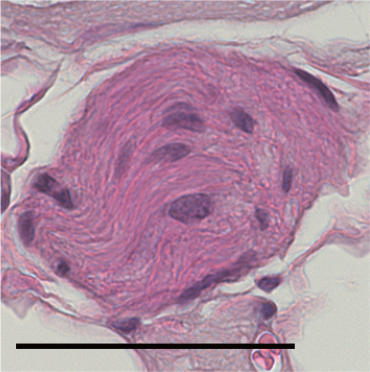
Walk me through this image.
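Here a single oval bundle fills most of the field, sharply set off from the pale loose matrix around it. It is made of fine, wavy, pink fibres that run in swirling parallel arrays, giving a streaked texture. Dark purple, elongated to oval nuclei are scattered through it, lying along the fibres, and a thin layer of flattened cells appears to wrap its edge.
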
